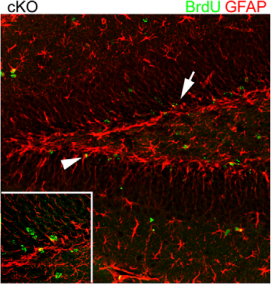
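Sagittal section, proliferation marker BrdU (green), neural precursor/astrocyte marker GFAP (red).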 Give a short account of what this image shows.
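This section of the dentate gyrus shows red star-shaped glial cells with fine branching processes scattered through the tissue, and a denser red line along the granular cell layer from which thin processes run outward, perpendicular to the layer, in a radial pattern. Small green nuclei are scattered along this line. An enlarged inset at the lower left shows a group of green nuclei beneath parallel red radial fibres.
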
